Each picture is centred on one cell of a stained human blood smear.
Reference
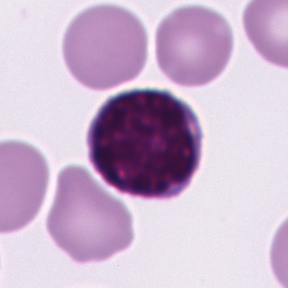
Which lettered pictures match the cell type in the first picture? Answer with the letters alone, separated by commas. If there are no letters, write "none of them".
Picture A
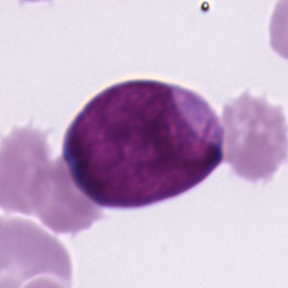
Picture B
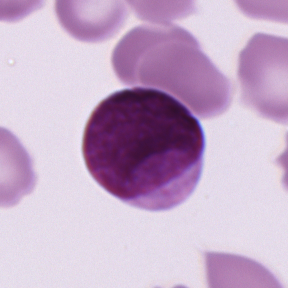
none of them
